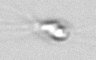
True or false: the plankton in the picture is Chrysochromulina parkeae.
True.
